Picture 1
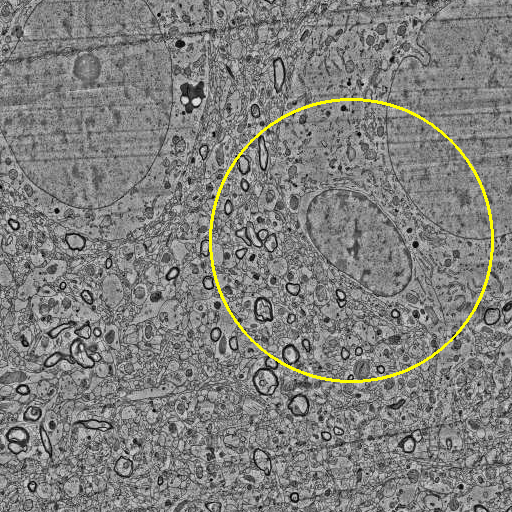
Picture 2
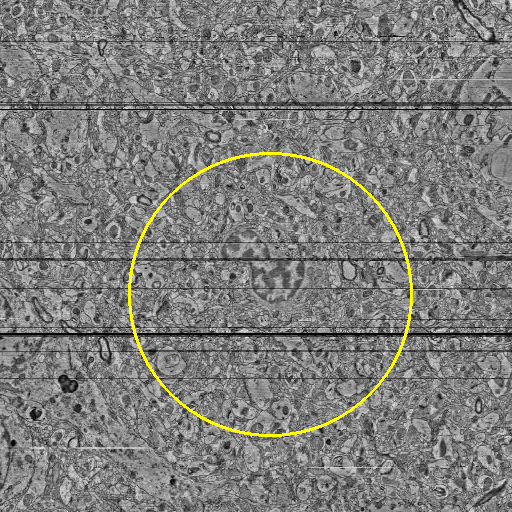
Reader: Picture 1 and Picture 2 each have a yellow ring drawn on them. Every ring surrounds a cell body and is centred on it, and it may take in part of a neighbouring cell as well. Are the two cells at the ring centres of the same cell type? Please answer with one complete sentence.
No, the cells are of two cell types.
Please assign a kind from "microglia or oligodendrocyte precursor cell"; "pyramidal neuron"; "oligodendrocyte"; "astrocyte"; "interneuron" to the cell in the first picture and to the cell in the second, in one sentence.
In the first picture we have a microglial cell or oligodendrocyte precursor cell, and in the second, an oligodendrocyte.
